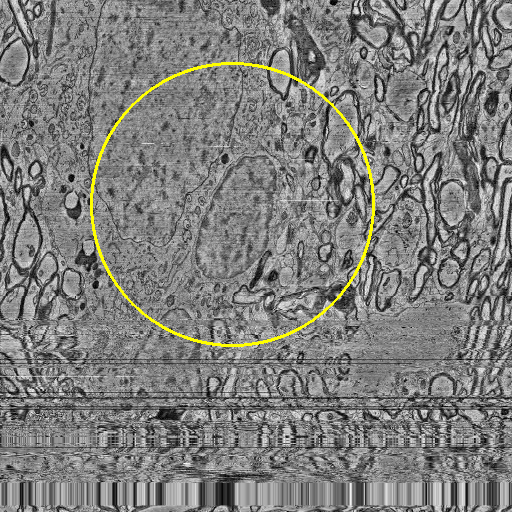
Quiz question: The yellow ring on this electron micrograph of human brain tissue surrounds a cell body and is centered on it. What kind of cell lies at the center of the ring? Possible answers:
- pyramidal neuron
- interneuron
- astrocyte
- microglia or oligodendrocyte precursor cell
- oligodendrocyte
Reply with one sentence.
The ring's center lies on an oligodendrocyte.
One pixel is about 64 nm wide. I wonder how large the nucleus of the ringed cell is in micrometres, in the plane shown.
In this plane the nucleus measures roughly 9 by 5 micrometers.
